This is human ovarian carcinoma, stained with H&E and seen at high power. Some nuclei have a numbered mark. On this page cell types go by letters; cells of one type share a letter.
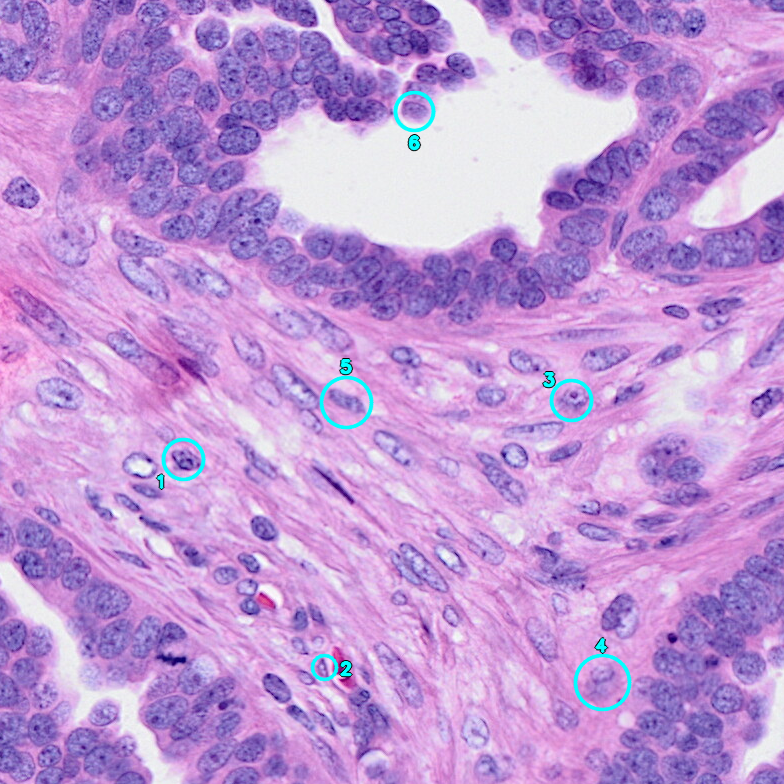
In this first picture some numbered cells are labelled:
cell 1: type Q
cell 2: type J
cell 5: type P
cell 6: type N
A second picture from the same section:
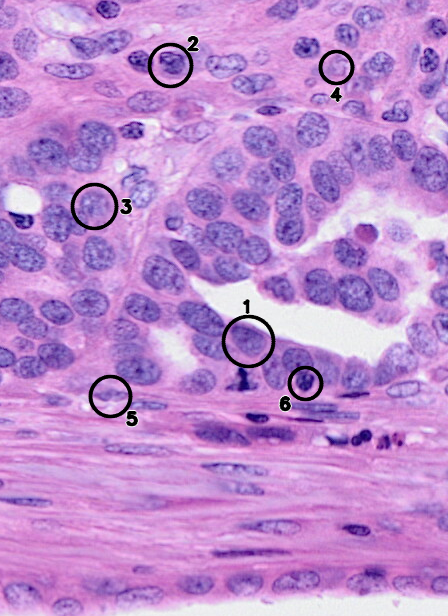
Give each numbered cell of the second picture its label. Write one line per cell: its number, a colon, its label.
1: type N
2: type Q
3: type N
4: type J
5: type P
6: type Q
